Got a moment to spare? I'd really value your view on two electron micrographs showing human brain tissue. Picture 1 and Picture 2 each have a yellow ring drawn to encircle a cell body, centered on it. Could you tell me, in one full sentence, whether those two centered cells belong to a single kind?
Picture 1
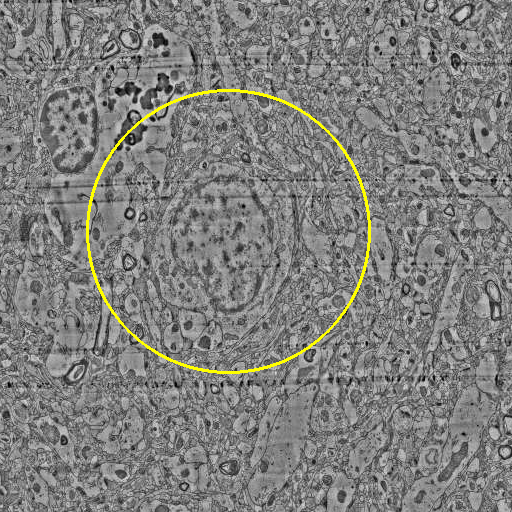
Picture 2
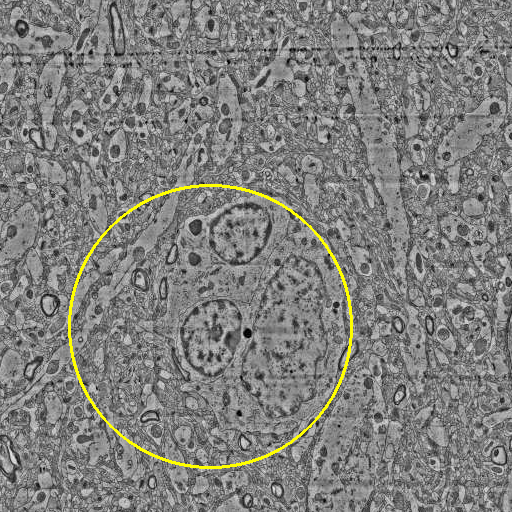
No, the two centered cells in Picture 1 and Picture 2 are of two kinds.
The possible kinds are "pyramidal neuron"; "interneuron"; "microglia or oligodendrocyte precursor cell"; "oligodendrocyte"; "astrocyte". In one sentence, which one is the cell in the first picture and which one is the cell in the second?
The cell ringed in the second picture is a microglial cell or oligodendrocyte precursor cell, whereas the one ringed in the first is an interneuron.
